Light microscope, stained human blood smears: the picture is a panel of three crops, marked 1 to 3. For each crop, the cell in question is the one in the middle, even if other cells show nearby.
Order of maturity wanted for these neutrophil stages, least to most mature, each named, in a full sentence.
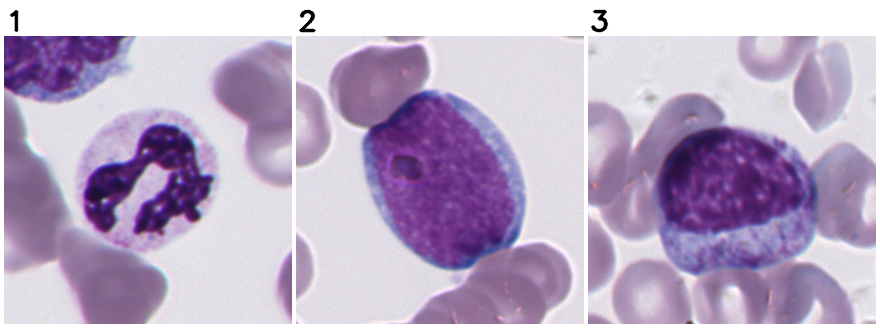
When ranked by maturity from lowest to highest, the order is crop 2 (a myeloblast), crop 3 (a myelocyte) and crop 1 (a segmented neutrophil).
